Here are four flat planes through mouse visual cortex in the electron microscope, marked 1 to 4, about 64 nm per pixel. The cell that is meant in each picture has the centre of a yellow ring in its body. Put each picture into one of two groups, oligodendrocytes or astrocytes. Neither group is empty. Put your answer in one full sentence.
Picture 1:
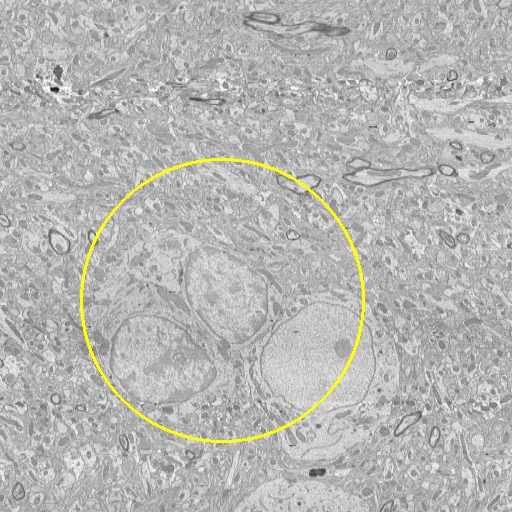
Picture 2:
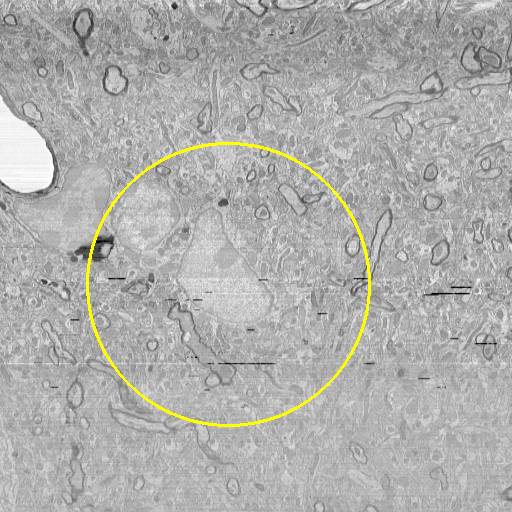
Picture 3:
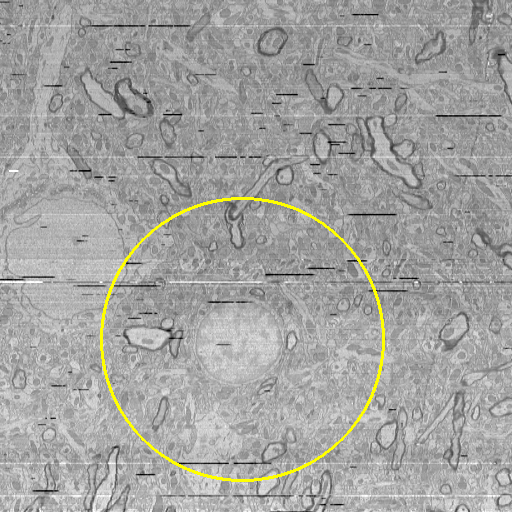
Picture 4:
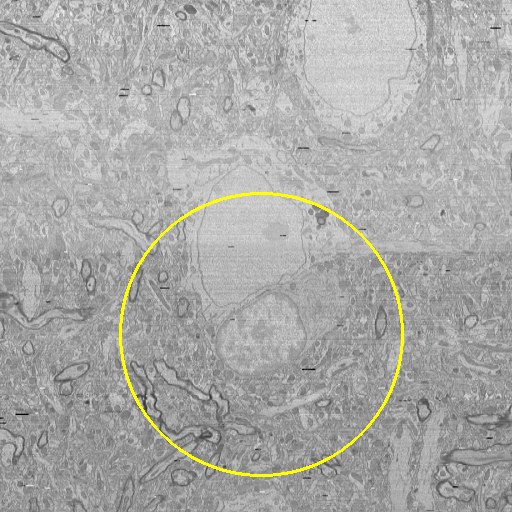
Pictures 1, 3 and 4 show oligodendrocytes; picture 2 shows an astrocyte.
